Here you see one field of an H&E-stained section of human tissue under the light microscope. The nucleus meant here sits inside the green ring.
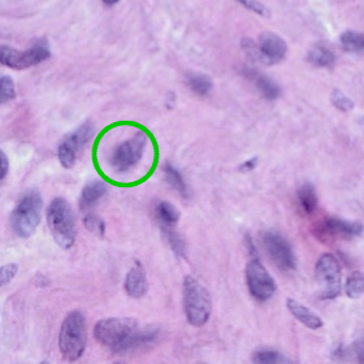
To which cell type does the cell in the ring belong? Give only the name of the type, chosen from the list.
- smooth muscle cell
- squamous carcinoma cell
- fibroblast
fibroblast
